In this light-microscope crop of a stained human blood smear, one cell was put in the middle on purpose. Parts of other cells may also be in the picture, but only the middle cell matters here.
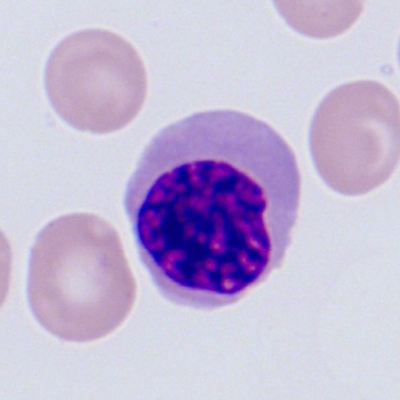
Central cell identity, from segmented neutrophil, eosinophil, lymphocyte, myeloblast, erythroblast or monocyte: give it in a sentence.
The central element of this crop is a cell, namely an erythroblast.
